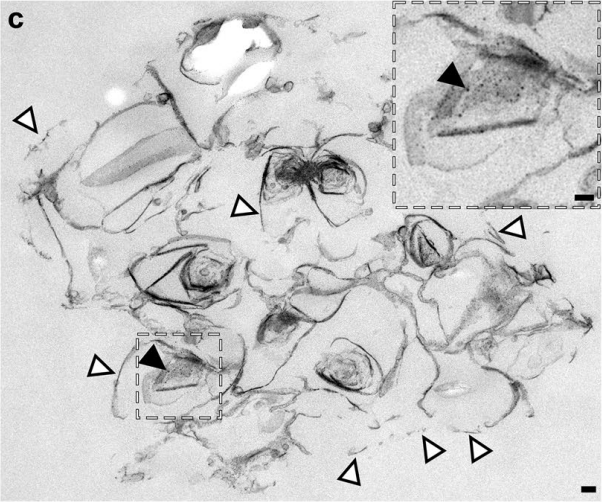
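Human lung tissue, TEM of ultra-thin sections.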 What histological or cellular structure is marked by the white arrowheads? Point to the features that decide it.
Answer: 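Loose, broken membrane sheets and whorls lie scattered with no regular lattice. The white arrowheads point to thin torn membrane pieces among them. That points to this answer: Fragmented and disorganized surfactant components.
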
